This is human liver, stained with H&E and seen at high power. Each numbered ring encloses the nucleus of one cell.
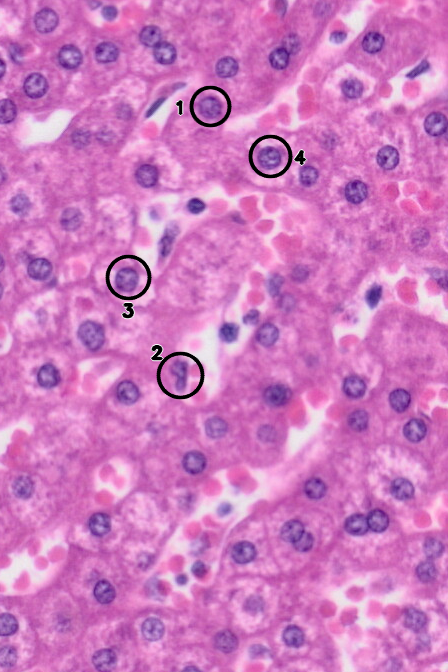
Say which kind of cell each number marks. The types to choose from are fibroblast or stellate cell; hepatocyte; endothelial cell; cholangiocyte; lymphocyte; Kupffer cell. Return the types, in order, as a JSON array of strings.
["hepatocyte", "Kupffer cell", "hepatocyte", "hepatocyte"]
